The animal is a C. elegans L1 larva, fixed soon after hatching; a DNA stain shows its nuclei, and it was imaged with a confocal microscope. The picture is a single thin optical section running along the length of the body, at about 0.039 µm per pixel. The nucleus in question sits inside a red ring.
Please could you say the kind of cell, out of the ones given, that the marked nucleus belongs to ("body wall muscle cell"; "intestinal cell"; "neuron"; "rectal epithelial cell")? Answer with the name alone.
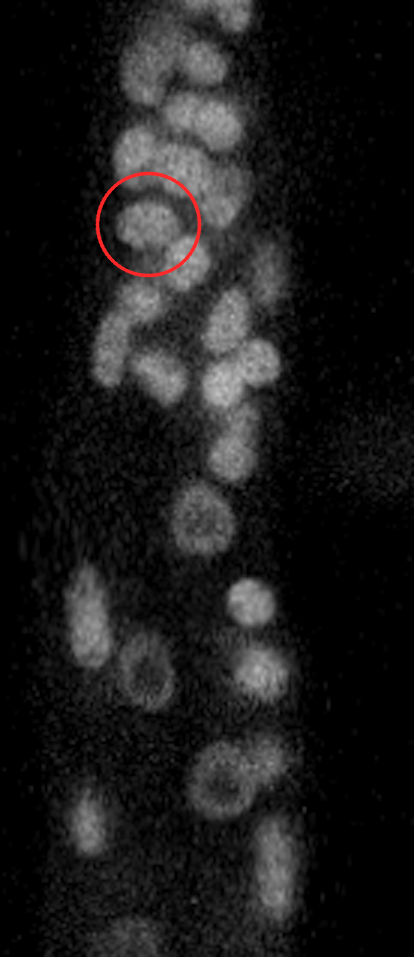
neuron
